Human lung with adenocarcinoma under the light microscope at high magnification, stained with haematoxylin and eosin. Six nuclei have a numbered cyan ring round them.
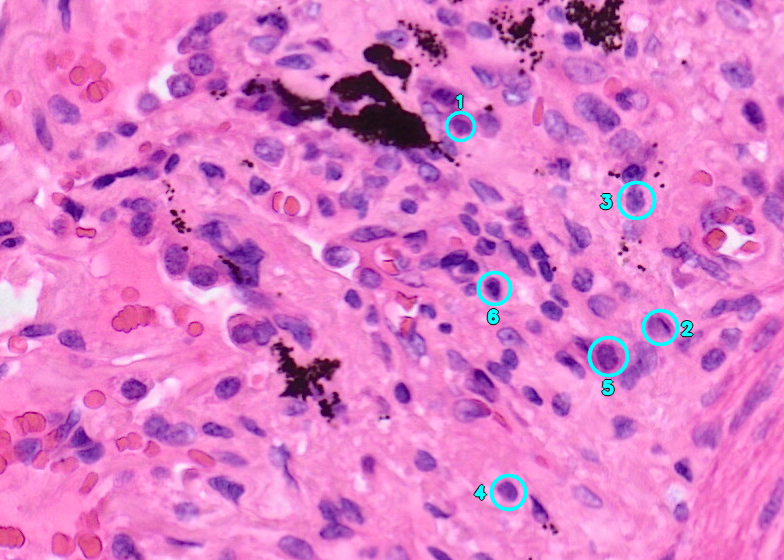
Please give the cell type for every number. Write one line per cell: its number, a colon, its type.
1: plasma cell
2: plasma cell
3: lymphocyte
4: lymphocyte
5: plasma cell
6: lymphocyte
